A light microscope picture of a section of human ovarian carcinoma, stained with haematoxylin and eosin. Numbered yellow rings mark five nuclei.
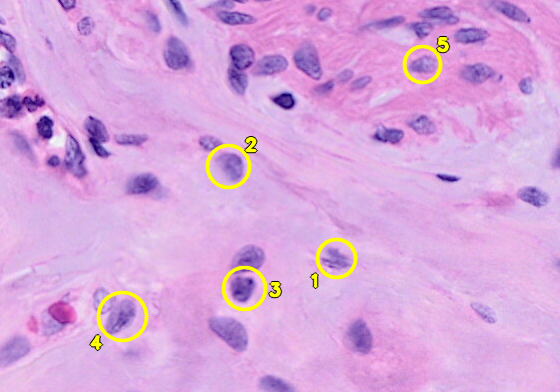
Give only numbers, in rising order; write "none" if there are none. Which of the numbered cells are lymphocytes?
3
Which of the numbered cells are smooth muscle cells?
5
